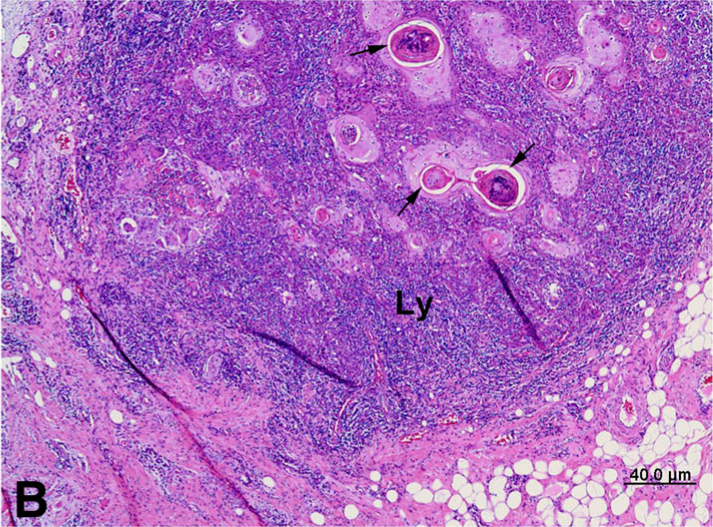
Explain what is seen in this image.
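Nests of pale pink squamous epithelial cells lie within dense sheets of small, darkly staining lymphoid cells. Within the nests are round spaces filled with concentric layers of pink keratin, some with a dark central core of debris, so that they resemble gland ducts. Pink fibrous tissue and fat cells border the lesion at the lower right.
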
